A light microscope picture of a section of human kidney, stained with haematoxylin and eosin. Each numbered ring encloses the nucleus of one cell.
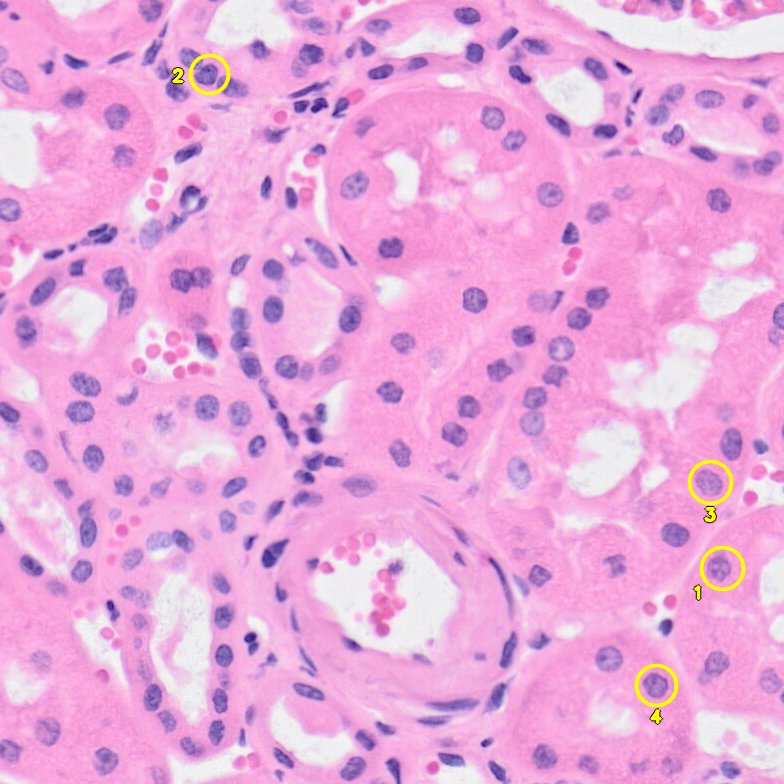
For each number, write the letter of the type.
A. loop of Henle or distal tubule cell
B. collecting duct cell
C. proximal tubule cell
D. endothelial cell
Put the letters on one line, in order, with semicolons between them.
C; B; C; C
